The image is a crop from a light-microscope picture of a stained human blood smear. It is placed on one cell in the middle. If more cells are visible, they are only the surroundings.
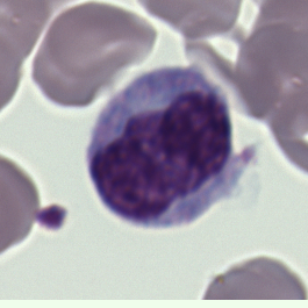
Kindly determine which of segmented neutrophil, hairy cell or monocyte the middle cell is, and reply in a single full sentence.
The crop's centre is taken up by a monocyte.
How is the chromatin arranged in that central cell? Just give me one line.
What stands out is chromatin that is coarsely clumped.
